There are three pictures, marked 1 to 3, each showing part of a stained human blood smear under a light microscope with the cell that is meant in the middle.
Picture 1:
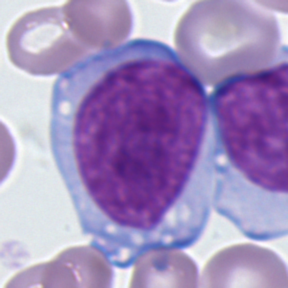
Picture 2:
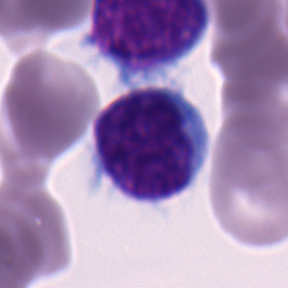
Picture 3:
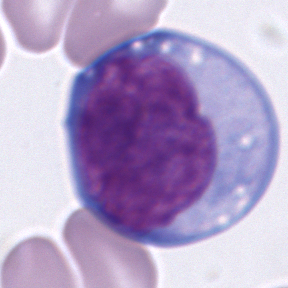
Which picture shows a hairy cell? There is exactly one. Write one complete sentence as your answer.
Picture 2 is the one that shows the hairy cell.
